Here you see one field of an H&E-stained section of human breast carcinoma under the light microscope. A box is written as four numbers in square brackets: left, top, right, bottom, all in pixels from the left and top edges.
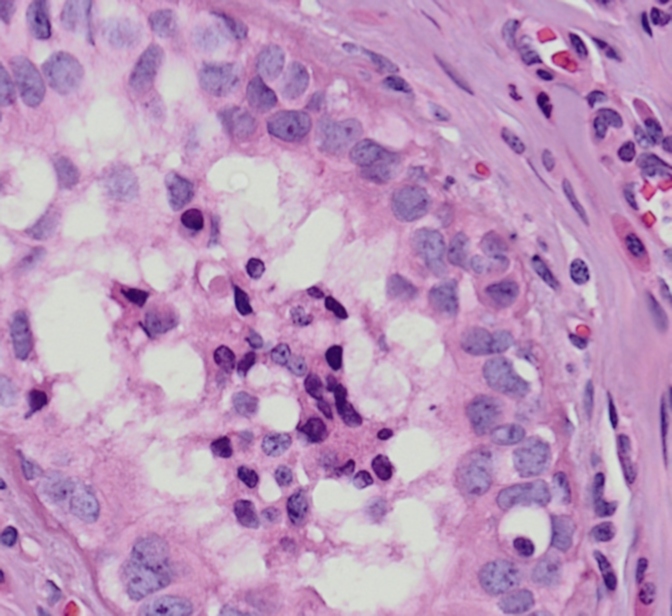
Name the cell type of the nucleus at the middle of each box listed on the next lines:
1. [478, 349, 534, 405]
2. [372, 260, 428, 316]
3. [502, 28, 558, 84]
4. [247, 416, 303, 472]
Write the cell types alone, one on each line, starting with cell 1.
carcinoma cell
carcinoma cell
endothelial cell
macrophage, monocyte or dendritic cell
